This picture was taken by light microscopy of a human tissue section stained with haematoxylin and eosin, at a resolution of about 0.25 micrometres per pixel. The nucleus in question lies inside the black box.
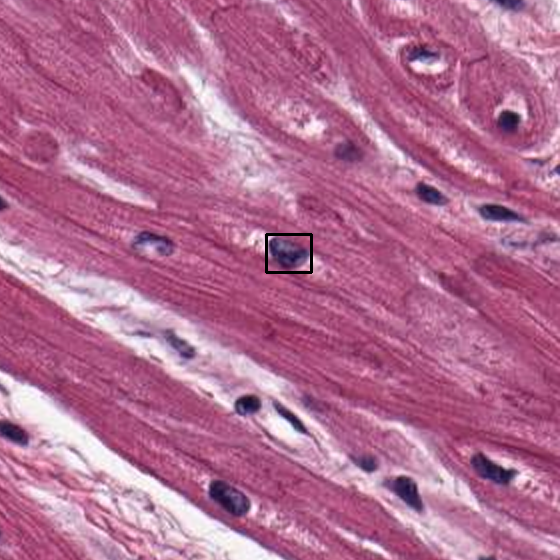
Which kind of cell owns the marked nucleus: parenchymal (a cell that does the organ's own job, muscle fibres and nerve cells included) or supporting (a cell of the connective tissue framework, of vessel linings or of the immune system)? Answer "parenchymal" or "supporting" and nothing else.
parenchymal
